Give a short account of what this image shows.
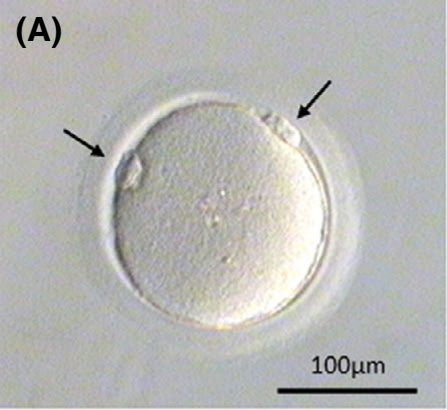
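This is a single oocyte, unusually large, seen whole under contrast optics. In that space, at two separate places along the upper rim, lie two small rounded bodies, each marked by an arrow: these are polar bodies. The cytoplasm shows no nucleus and only a few small specks near the centre.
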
